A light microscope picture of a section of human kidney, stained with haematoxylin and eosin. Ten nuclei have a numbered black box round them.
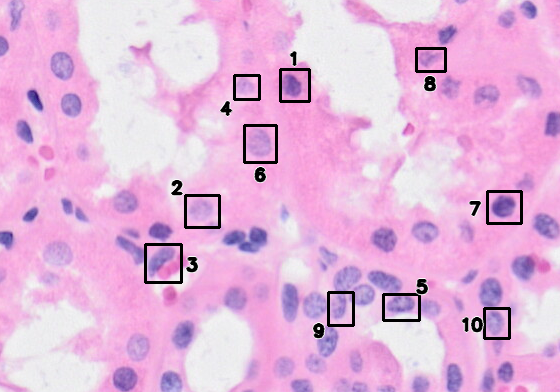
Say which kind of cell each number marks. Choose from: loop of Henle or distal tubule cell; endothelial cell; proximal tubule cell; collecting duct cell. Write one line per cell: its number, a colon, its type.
1: proximal tubule cell
2: proximal tubule cell
3: endothelial cell
4: proximal tubule cell
5: collecting duct cell
6: proximal tubule cell
7: proximal tubule cell
8: proximal tubule cell
9: collecting duct cell
10: collecting duct cell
